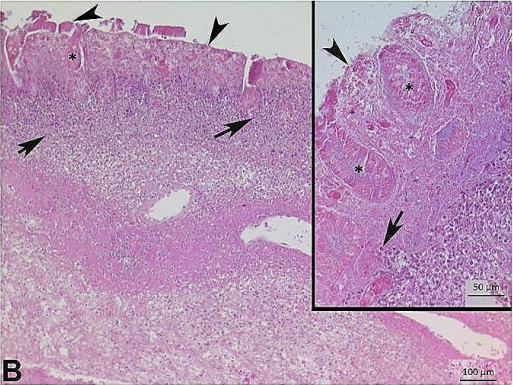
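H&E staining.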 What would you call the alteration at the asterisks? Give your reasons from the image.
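Disrupted glands. Remaining glands are distorted and irregular, without the orderly row of crypts. Glands lack the pale goblet cells and are surrounded by dense cellular tissue.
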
